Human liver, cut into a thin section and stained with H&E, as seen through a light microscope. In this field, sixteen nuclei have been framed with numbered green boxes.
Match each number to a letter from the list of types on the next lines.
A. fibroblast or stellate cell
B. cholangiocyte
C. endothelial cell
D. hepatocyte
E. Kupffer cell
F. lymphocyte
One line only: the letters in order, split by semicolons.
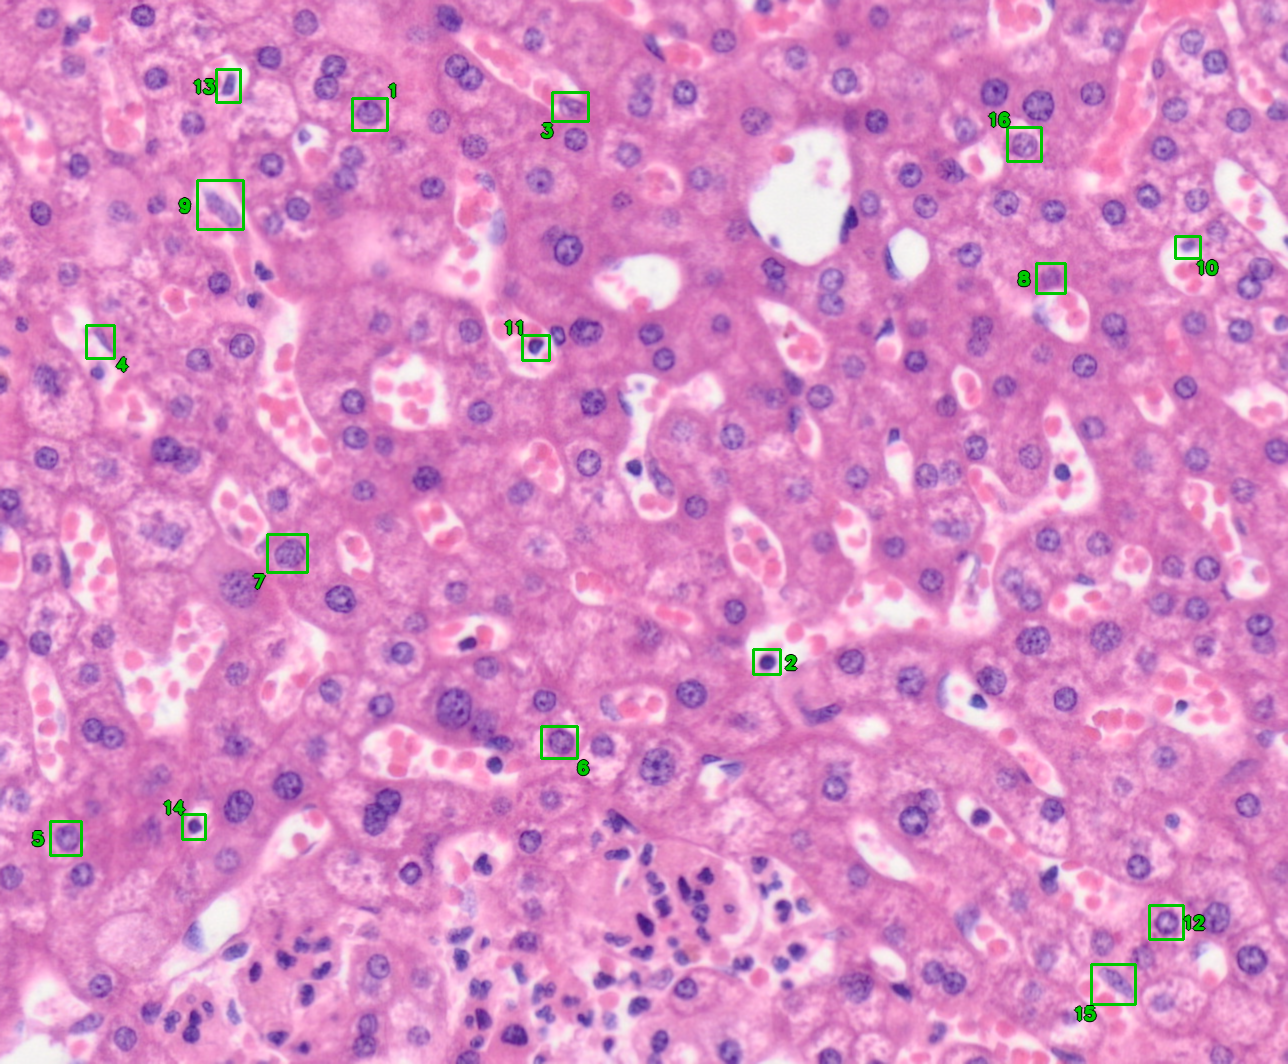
D; F; E; C; D; D; D; D; E; F; F; D; F; F; E; D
